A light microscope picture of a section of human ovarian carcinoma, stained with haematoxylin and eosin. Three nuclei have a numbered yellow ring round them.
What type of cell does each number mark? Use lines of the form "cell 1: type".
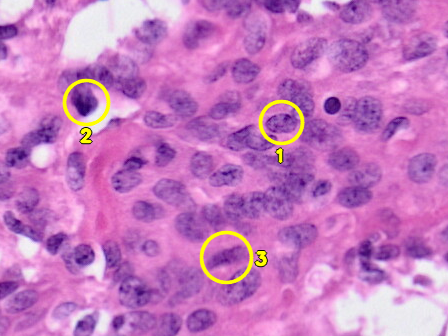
cell 1: macrophage or monocyte
cell 2: carcinoma cell
cell 3: carcinoma cell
